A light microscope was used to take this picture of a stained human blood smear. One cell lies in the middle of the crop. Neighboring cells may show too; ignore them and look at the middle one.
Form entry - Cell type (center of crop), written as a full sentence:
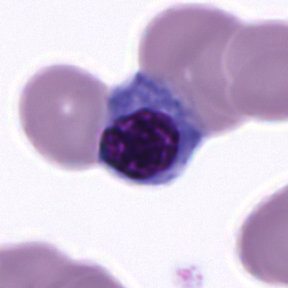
What sits at the centre of this crop is a plasma cell.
